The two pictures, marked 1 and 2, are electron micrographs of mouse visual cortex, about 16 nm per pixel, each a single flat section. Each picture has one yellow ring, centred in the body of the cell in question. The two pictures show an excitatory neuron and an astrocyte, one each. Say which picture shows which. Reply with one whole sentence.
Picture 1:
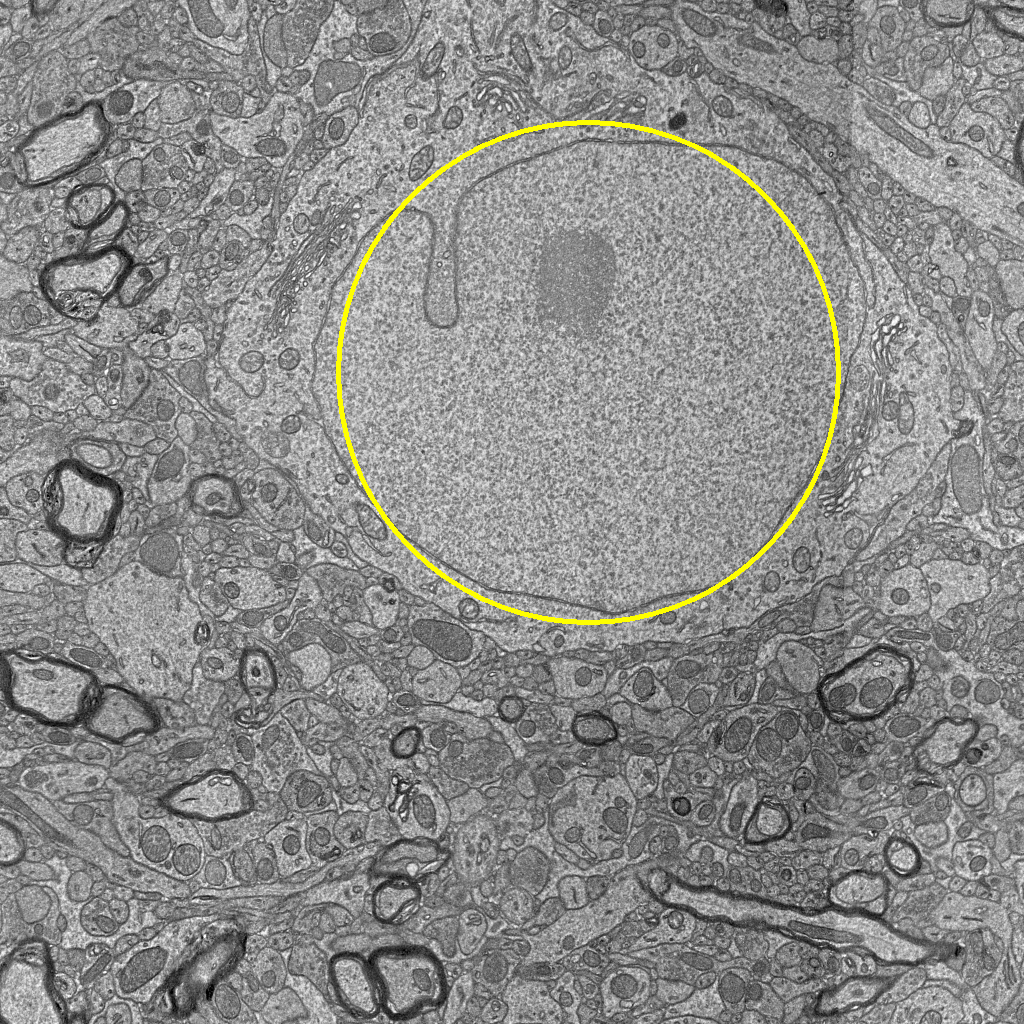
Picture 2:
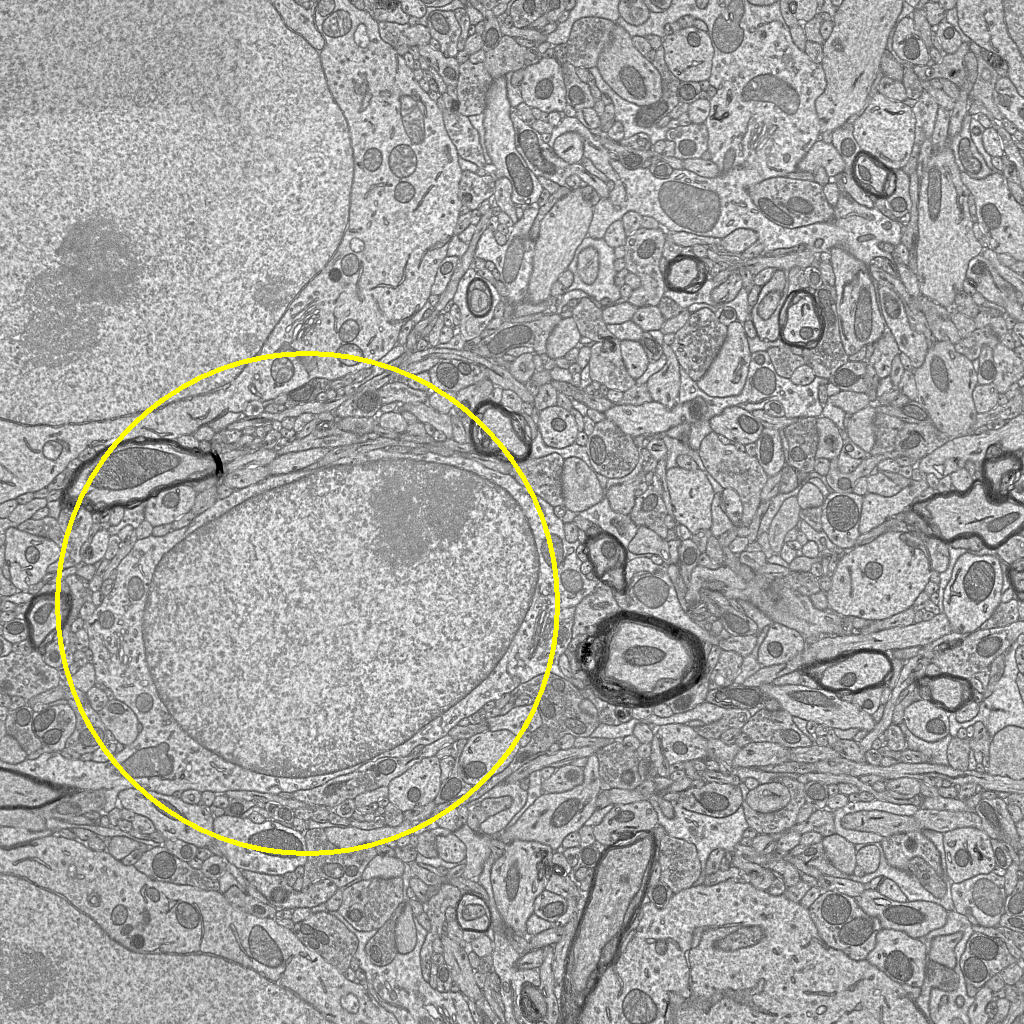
It is picture 1 that shows an excitatory neuron, and picture 2 that shows an astrocyte.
